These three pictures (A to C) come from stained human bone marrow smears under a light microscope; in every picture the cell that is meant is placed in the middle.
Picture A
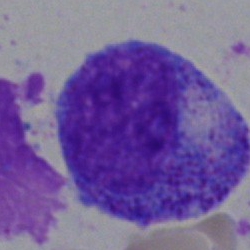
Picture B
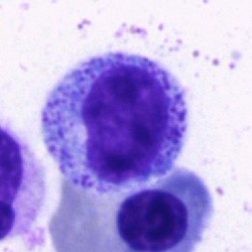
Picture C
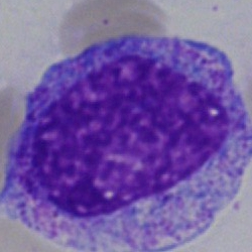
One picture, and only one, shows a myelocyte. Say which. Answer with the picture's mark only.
B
